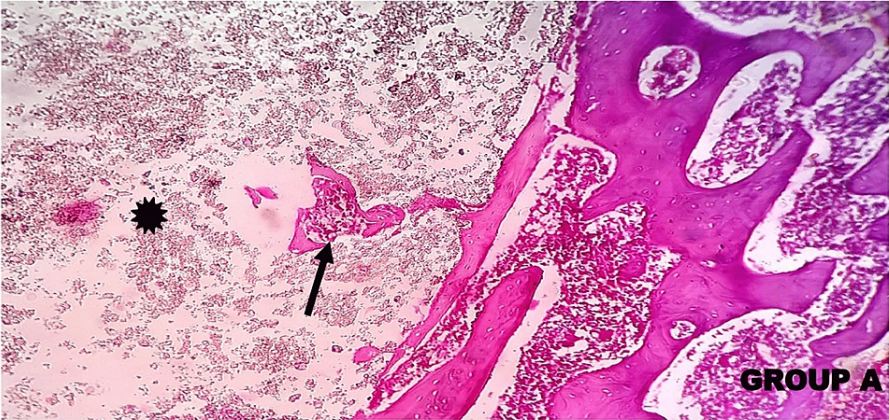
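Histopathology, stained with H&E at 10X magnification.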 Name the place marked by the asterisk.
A: Defect area.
